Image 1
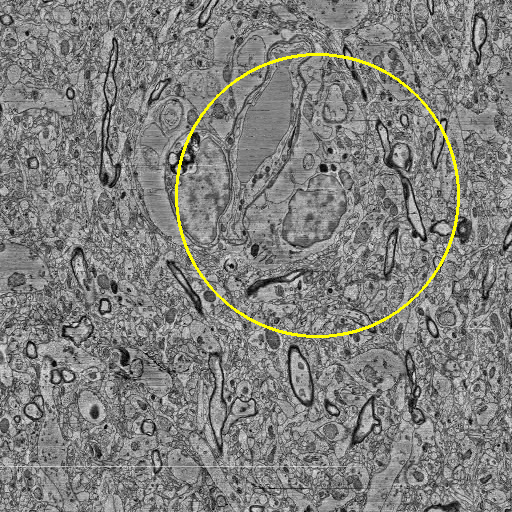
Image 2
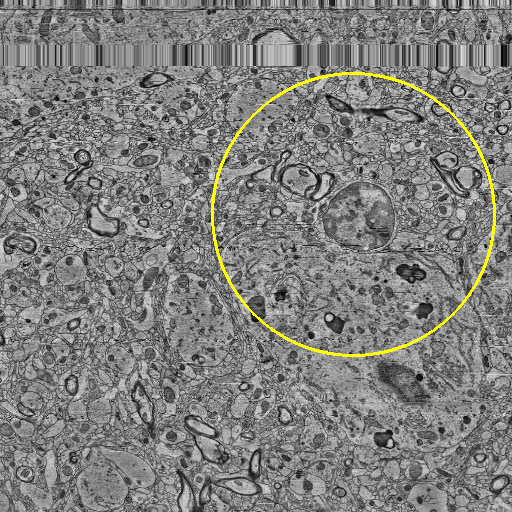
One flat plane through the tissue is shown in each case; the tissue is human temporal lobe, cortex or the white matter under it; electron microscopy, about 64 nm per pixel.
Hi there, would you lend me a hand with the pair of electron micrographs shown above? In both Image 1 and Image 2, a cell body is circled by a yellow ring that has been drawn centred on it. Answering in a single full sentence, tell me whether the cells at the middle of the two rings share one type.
Yes, the ringed cells in Image 1 and Image 2 share one type.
